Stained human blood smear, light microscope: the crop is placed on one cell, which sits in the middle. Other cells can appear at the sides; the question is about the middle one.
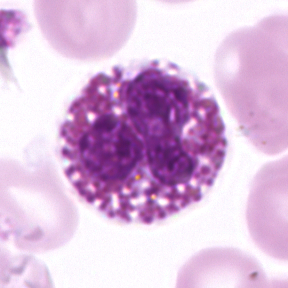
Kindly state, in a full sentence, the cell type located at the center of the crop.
Framed in the middle of the crop is an eosinophil.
